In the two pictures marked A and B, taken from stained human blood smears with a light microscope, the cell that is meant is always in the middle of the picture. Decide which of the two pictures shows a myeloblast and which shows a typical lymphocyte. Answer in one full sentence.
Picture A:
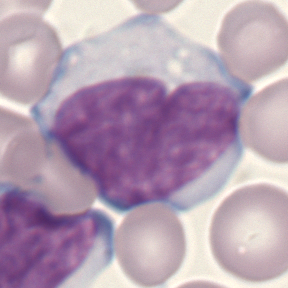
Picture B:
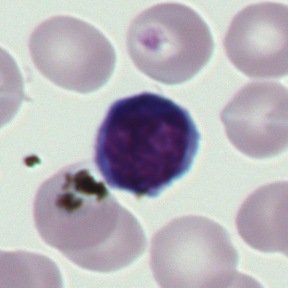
Picture B shows a typical lymphocyte, while picture A shows a myeloblast.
